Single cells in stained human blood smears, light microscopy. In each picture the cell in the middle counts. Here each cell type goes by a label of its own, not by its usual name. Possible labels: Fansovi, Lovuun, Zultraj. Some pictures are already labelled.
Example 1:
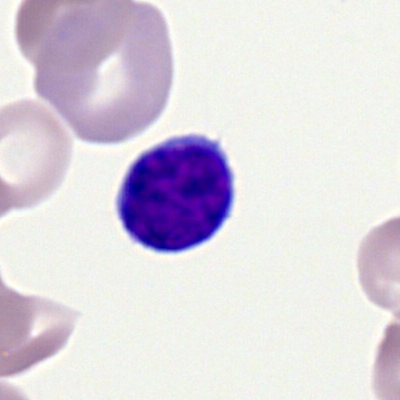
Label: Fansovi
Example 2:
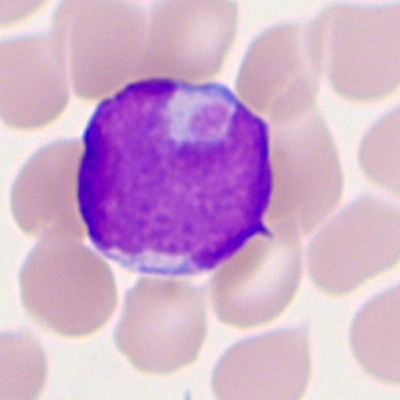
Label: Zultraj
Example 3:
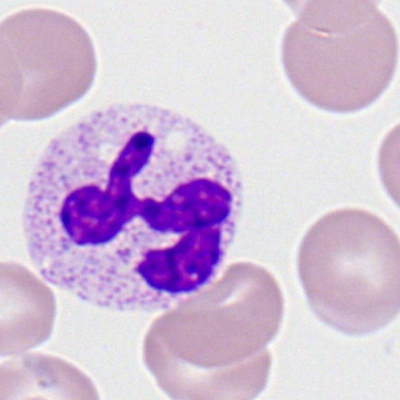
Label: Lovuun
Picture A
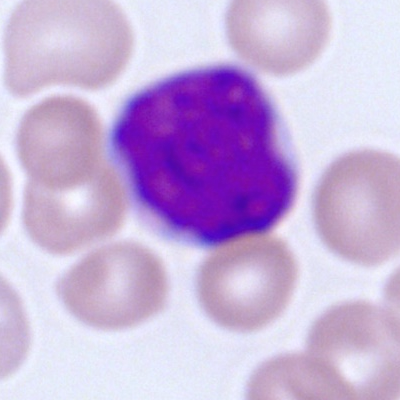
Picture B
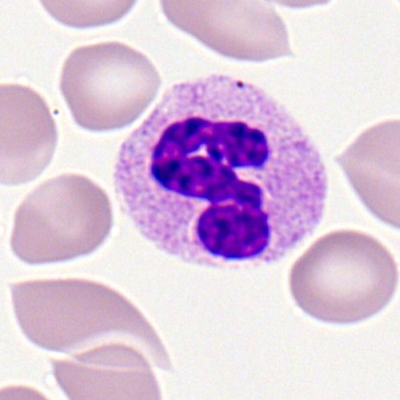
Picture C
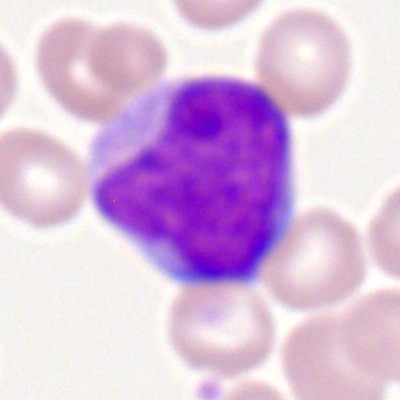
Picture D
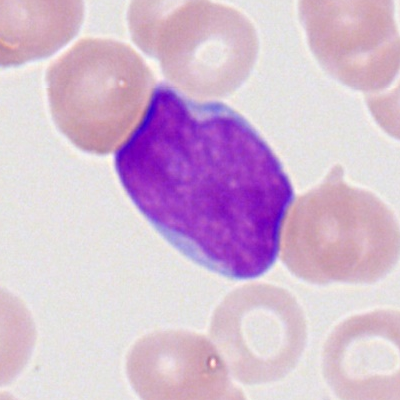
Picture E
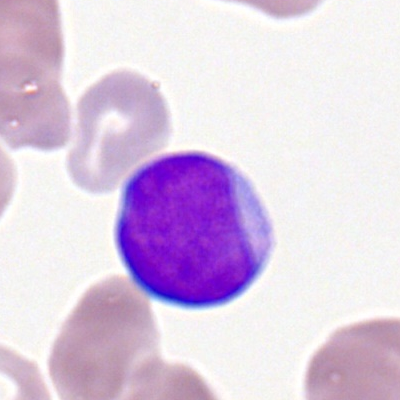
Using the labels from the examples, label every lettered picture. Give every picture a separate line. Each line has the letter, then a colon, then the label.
A: Zultraj
B: Lovuun
C: Zultraj
D: Zultraj
E: Zultraj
